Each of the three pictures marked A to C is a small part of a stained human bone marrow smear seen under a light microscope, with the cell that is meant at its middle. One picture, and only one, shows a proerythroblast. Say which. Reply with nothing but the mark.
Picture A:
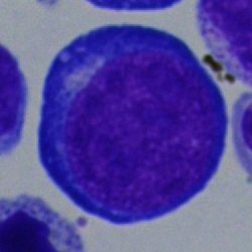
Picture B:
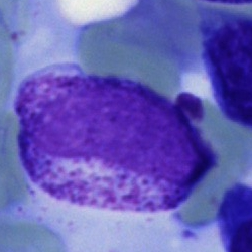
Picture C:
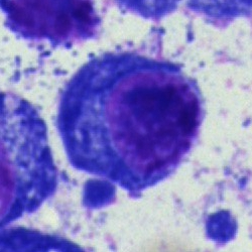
A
